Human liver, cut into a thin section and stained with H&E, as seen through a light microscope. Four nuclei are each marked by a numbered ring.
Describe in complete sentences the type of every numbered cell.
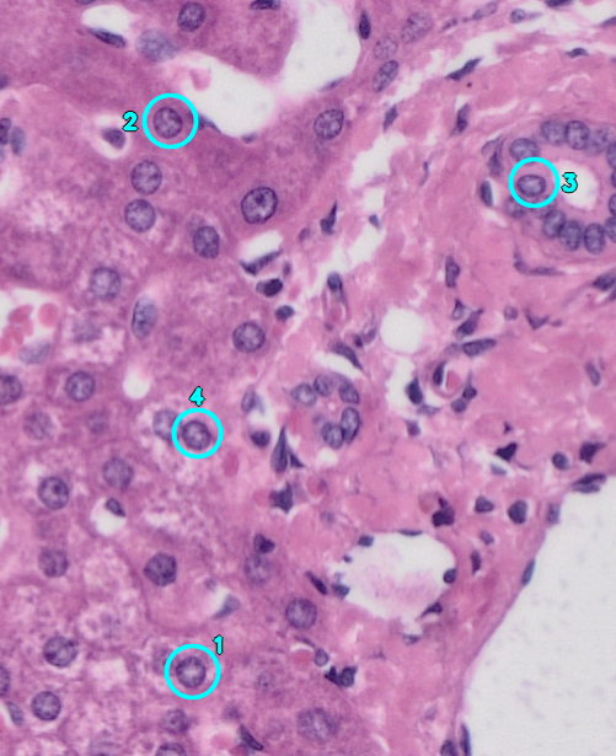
Cell 1 is a hepatocyte, cell 2 is a hepatocyte, cell 3 is a cholangiocyte and cell 4 is a hepatocyte.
